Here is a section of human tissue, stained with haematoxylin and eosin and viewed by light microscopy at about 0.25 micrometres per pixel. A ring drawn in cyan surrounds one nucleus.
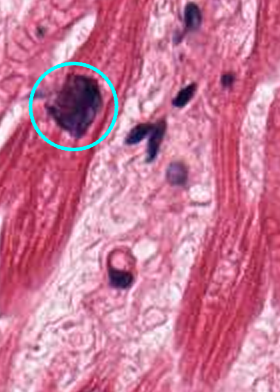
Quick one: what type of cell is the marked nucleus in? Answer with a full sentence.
A nucleus belonging to a cardiomyocyte is the one marked.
